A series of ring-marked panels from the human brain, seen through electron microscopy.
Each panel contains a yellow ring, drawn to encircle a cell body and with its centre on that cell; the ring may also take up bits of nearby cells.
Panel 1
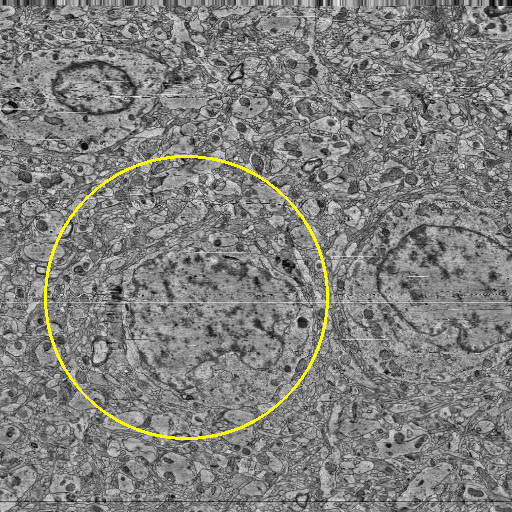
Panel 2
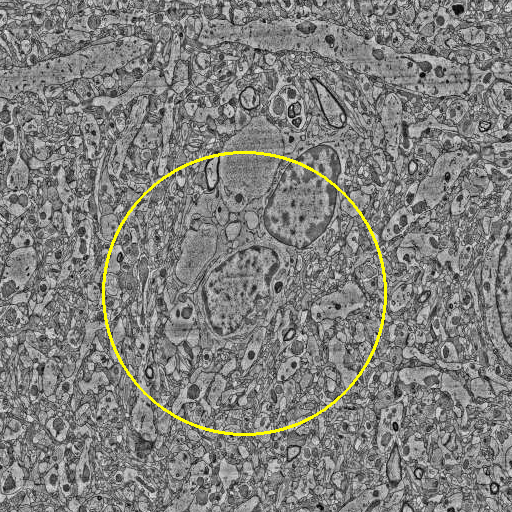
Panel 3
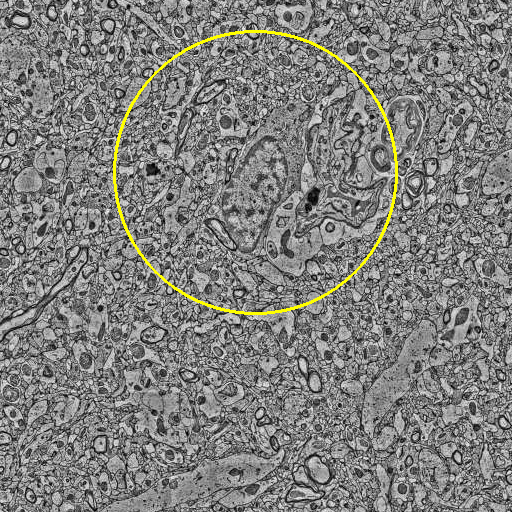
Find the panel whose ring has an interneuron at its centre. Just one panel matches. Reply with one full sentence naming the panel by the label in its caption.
The sought cell lies at the centre of the ring shown in Panel 1.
